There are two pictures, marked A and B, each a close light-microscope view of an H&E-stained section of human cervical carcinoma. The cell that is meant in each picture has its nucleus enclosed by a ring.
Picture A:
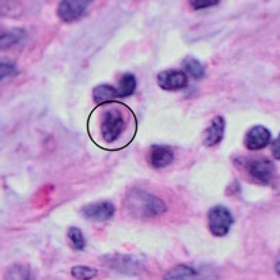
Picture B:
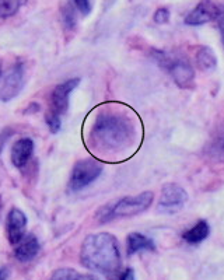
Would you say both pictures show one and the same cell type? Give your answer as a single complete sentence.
No. Picture A shows a lymphocyte, but picture B shows a “macrophage or monocyte”.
